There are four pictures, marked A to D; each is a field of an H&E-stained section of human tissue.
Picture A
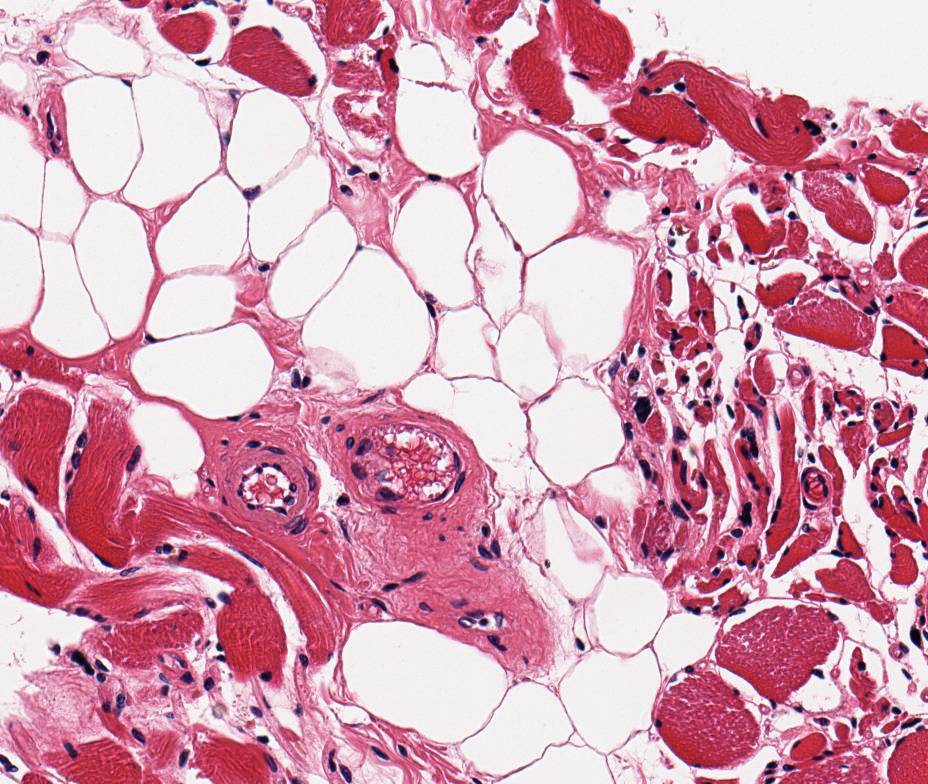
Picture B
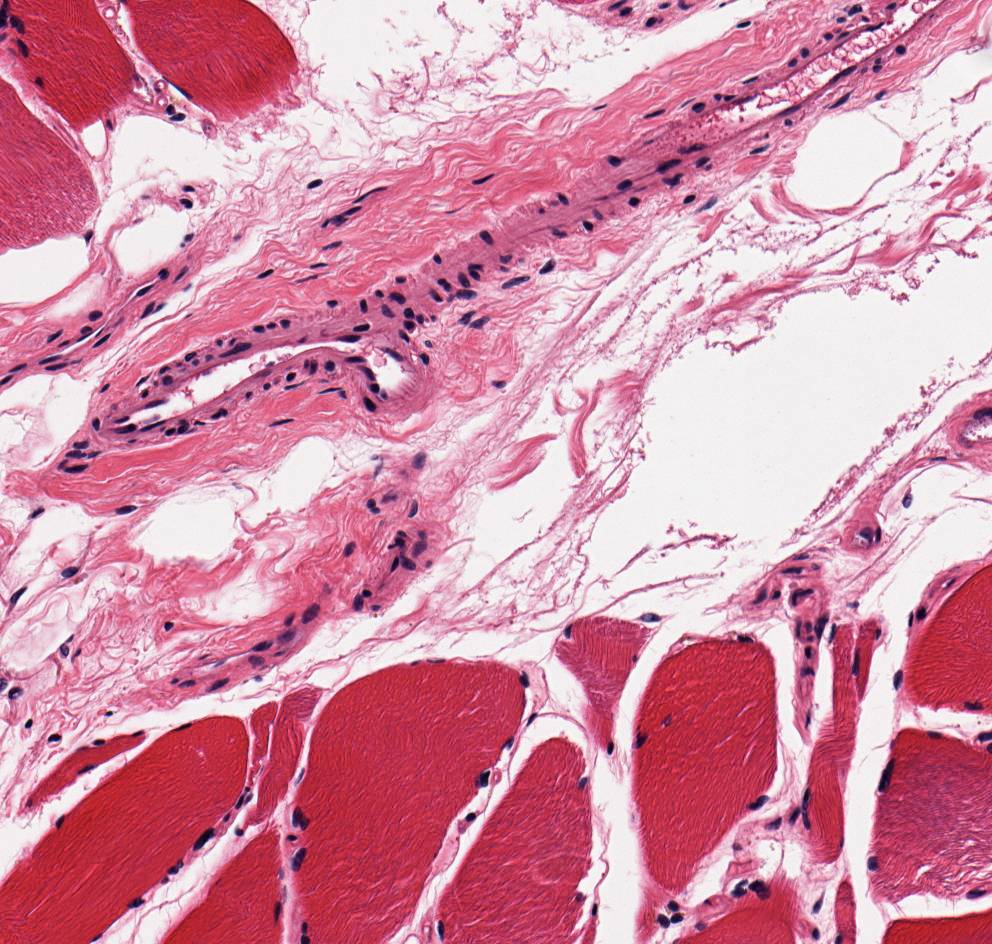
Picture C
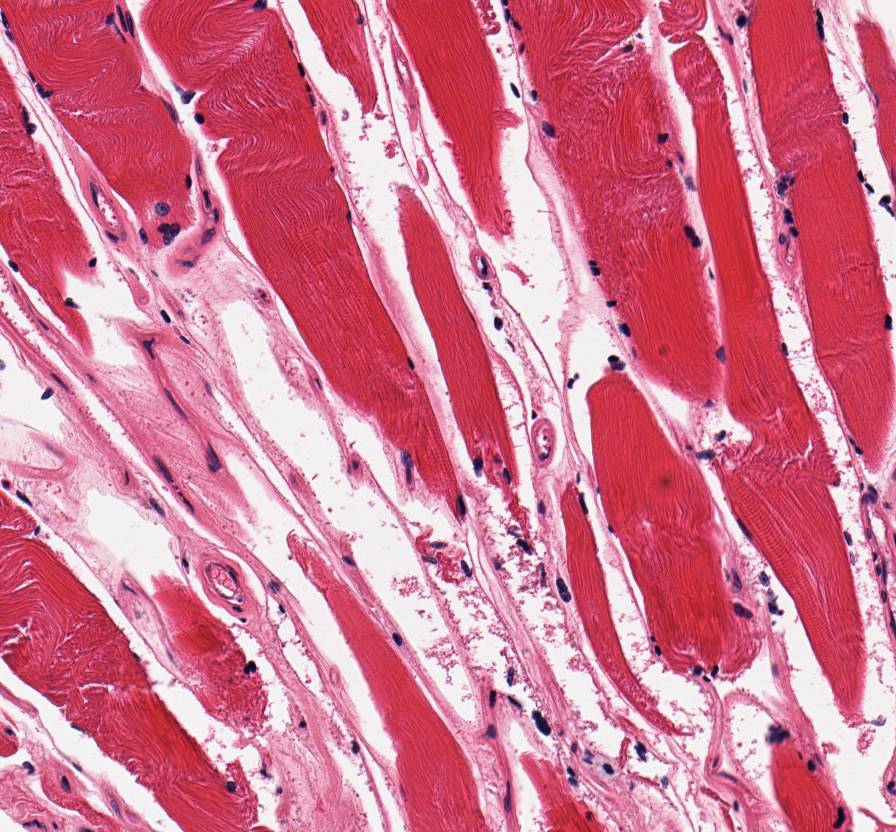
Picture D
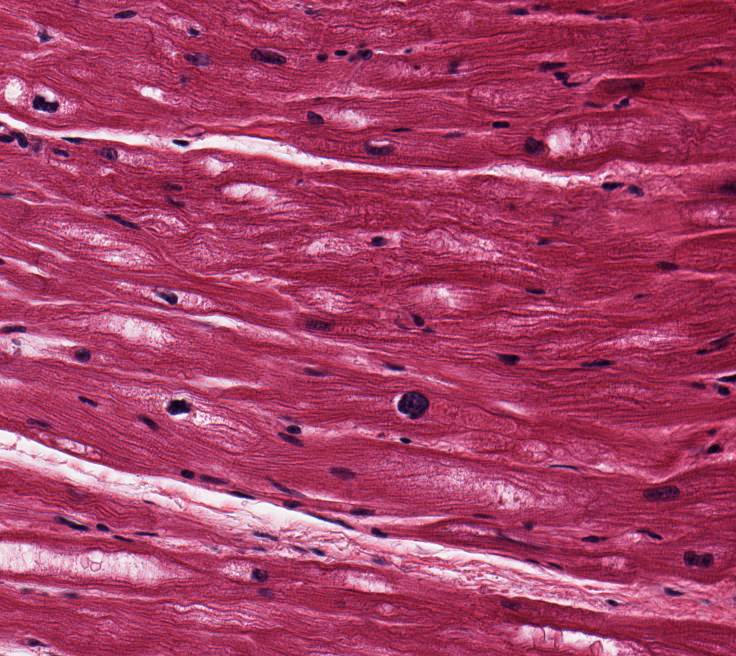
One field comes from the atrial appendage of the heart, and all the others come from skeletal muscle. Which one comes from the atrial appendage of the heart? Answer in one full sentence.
Picture D comes from the atrial appendage of the heart.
